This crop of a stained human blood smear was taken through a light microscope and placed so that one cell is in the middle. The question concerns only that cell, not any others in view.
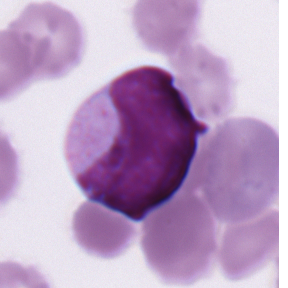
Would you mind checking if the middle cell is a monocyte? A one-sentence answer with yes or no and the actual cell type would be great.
No, the cell positioned in the middle is a myeloblast, not a monocyte.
